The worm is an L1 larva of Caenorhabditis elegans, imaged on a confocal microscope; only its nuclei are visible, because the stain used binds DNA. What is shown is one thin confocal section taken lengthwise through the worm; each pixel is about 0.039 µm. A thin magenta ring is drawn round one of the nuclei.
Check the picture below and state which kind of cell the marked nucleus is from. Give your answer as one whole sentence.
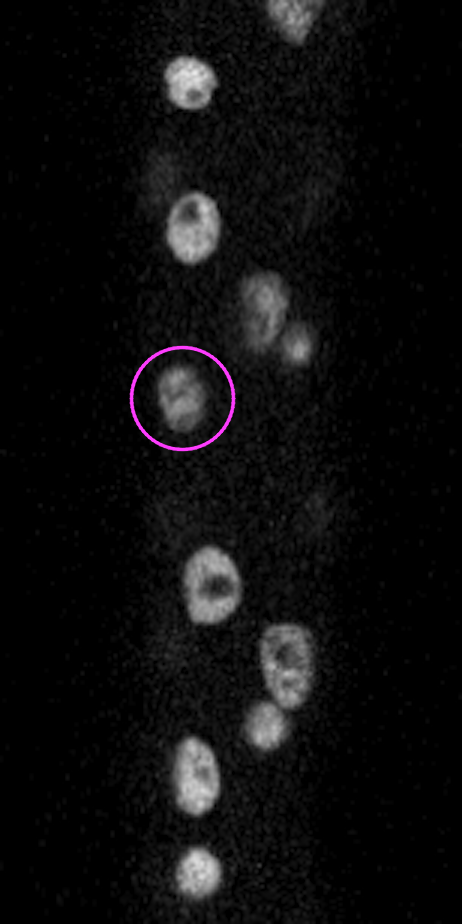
It is the nucleus of a P cell (ventral epidermal blast cell).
